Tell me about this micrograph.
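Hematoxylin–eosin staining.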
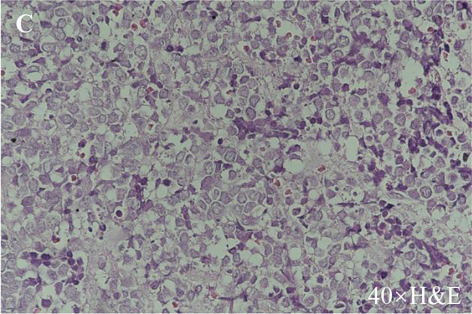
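Sheets of small, fairly uniform round-to-oval cells are packed closely together with little intervening stroma. Scattered cells have darker, shrunken purple nuclei among the paler ones. This is a low-differentiated small round cell tumor growing in solid sheets.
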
